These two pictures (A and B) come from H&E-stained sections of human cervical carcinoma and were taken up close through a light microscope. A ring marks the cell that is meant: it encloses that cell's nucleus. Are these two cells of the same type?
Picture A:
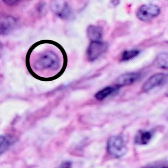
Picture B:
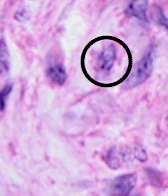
yes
